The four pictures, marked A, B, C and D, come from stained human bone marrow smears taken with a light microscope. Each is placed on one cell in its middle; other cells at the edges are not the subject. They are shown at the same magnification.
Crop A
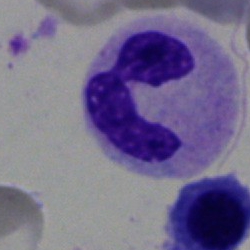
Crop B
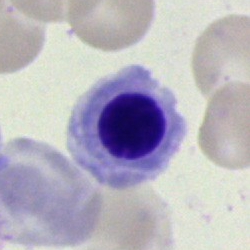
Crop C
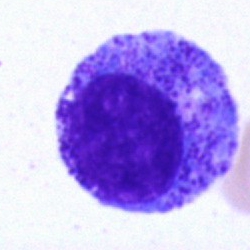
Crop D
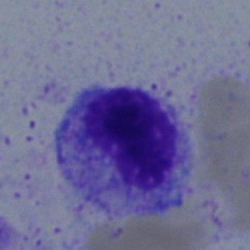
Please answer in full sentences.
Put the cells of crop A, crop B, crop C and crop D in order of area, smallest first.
Going up, they run B, D, A, C.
